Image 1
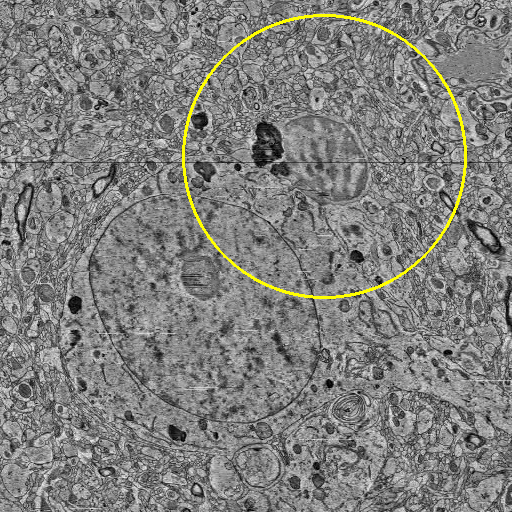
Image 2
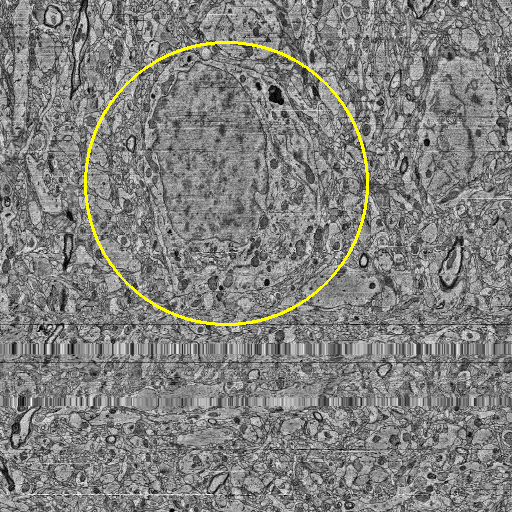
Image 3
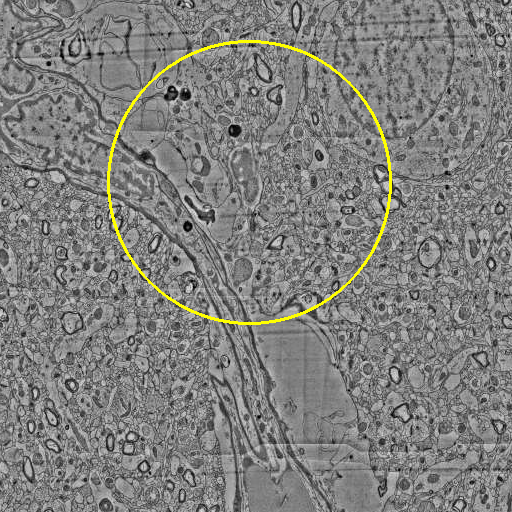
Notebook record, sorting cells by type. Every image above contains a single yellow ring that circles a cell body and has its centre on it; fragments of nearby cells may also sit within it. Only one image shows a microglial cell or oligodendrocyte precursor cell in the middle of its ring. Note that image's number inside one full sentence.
For image 3, the cell in the middle of its yellow ring is the match.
